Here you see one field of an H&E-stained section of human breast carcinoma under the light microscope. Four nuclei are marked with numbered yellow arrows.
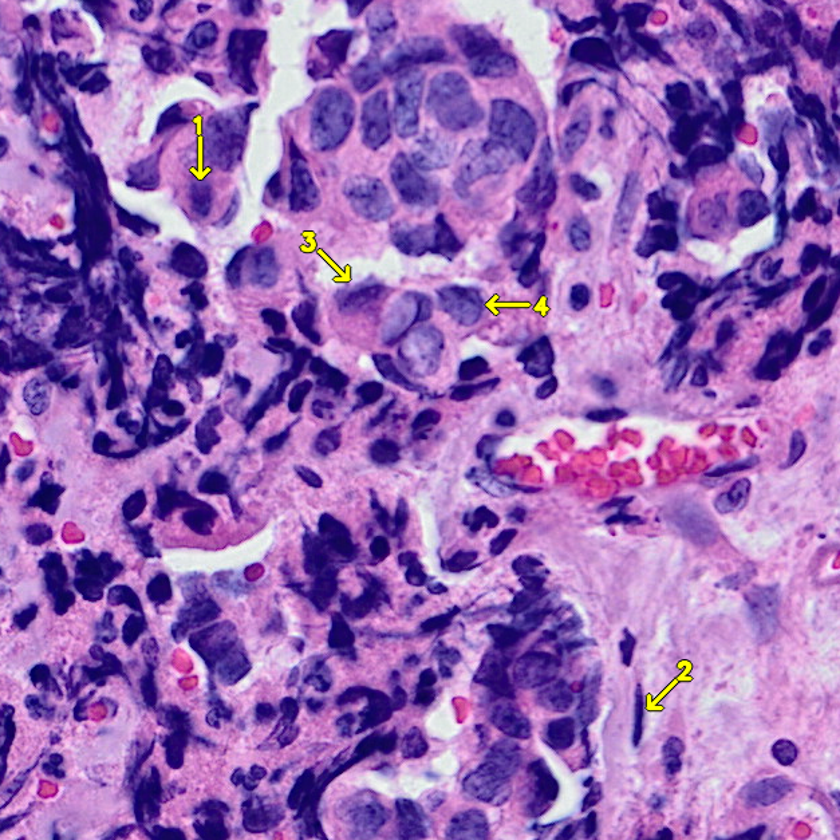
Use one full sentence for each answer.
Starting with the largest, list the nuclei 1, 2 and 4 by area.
From largest to smallest, the order is 4, 1, 2.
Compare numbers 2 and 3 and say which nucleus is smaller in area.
Nucleus 2 is the smaller one; nucleus 3 covers about 2 times its area.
